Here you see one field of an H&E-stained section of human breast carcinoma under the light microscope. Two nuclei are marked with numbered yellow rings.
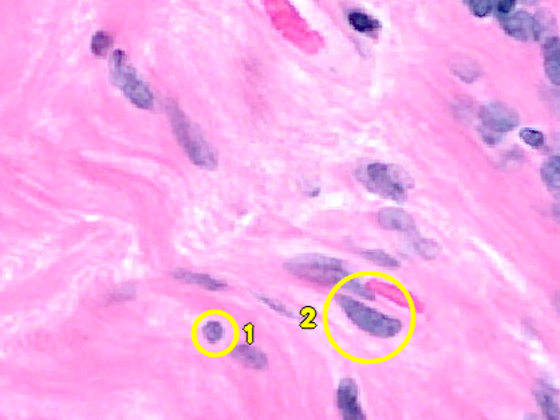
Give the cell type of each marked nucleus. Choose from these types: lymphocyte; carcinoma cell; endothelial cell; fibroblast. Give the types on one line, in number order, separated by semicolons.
lymphocyte; endothelial cell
